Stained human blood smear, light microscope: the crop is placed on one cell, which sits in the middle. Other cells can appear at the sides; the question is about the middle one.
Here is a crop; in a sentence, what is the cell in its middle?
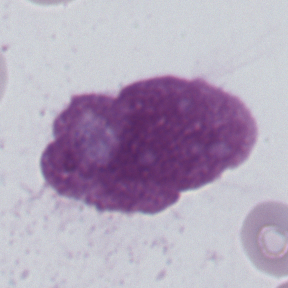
Classified as a smudge cell is the cell in the middle of this crop.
